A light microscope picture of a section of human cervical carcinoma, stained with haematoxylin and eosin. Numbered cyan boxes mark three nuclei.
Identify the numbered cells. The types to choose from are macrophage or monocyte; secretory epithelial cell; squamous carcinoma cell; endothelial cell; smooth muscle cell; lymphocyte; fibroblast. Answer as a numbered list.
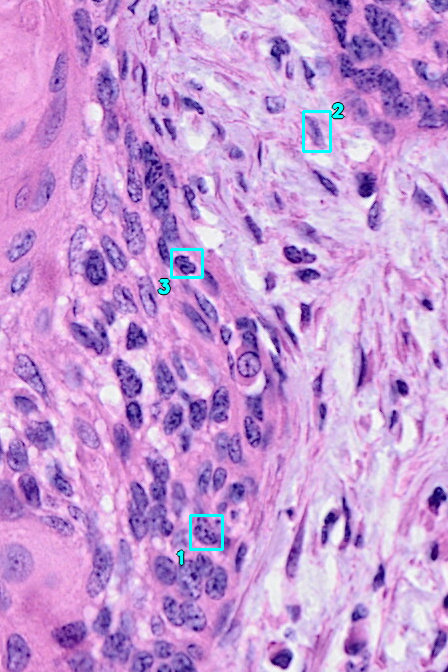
1. squamous carcinoma cell
2. fibroblast
3. lymphocyte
